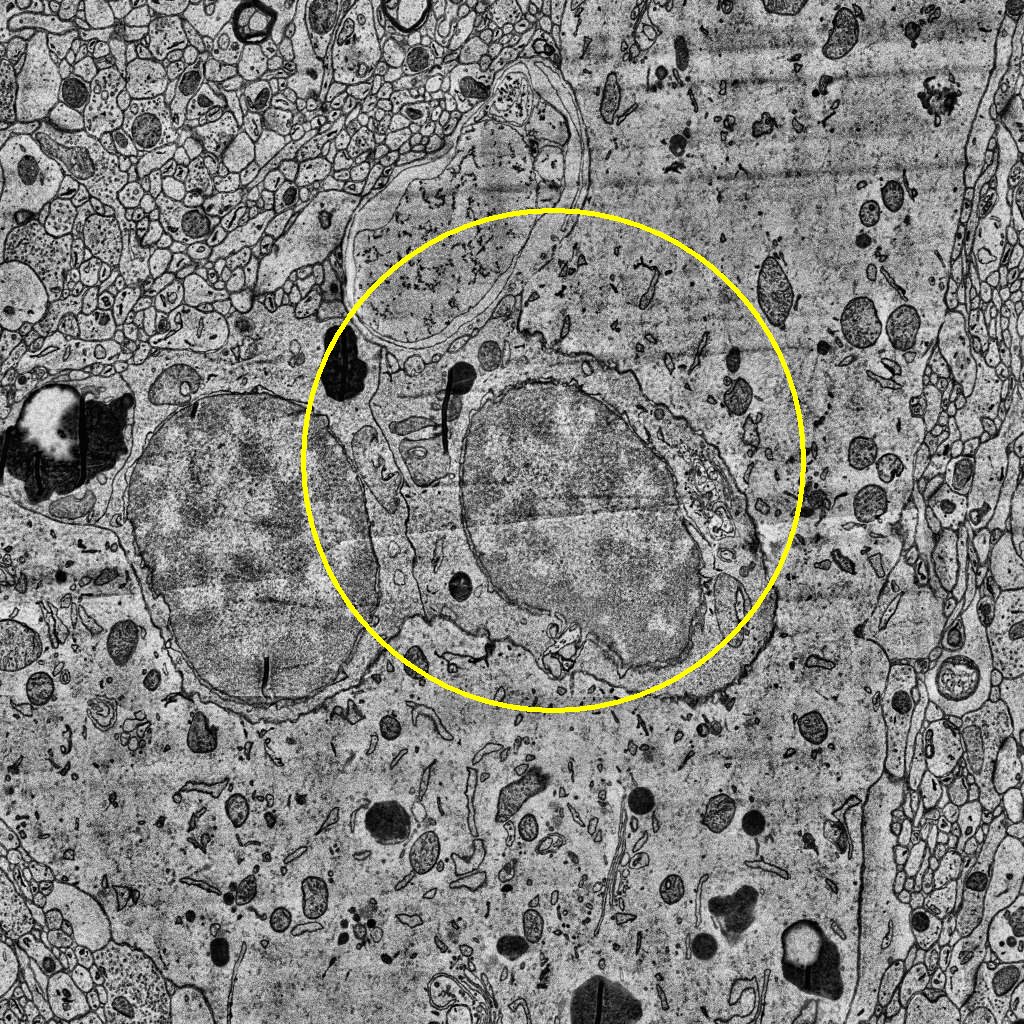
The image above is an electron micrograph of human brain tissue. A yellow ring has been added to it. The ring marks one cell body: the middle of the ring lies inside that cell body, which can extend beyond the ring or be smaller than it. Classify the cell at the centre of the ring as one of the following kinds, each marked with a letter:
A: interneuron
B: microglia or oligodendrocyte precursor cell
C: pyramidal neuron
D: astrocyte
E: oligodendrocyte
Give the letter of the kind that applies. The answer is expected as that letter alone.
E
